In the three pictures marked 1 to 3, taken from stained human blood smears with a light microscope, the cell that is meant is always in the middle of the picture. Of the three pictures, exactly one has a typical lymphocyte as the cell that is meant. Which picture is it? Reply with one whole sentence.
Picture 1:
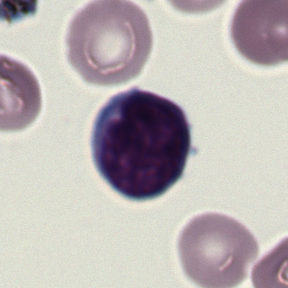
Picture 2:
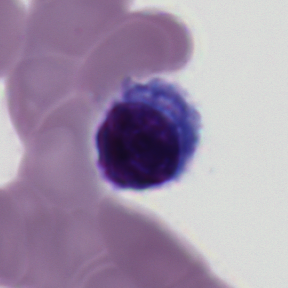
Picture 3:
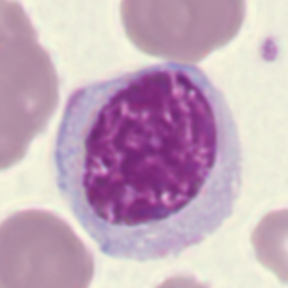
Picture 1 shows the typical lymphocyte.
